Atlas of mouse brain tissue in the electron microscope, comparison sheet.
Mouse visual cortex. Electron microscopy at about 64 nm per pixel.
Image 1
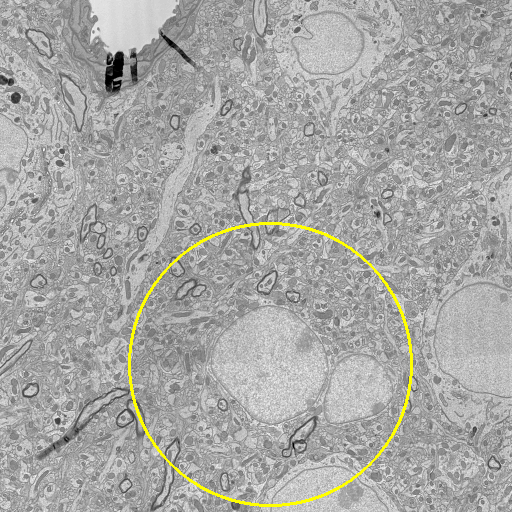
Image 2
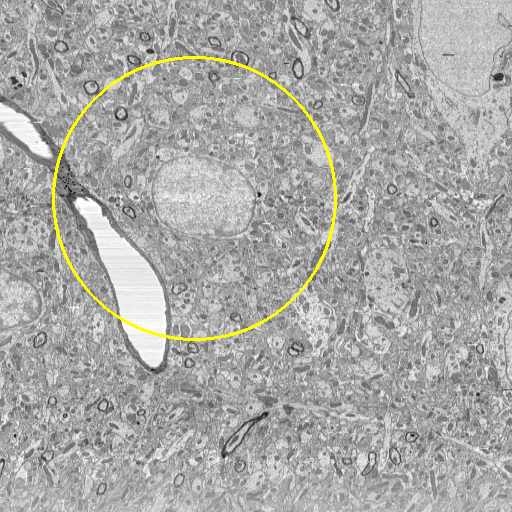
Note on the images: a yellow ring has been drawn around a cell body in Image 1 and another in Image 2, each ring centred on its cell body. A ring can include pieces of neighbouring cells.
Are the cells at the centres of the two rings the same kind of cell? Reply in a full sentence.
Yes, both cells are of the same kind.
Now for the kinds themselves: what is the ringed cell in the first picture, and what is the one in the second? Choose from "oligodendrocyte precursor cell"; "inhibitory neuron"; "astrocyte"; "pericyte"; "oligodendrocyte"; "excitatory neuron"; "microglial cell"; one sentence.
The cell in the first picture is an astrocyte, and so is the one in the second.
